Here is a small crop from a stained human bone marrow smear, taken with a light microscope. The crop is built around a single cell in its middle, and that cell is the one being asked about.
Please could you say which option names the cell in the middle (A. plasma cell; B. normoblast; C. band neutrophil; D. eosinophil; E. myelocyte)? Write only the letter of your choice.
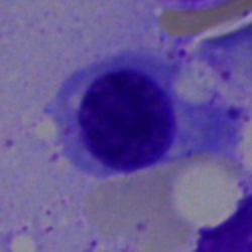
B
